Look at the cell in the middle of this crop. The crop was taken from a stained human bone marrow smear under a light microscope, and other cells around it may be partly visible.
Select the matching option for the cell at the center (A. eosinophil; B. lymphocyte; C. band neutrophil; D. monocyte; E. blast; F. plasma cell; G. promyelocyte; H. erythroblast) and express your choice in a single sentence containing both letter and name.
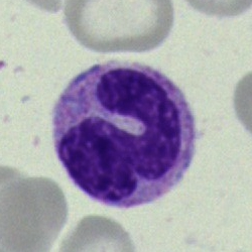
Option C is right, the centrally situated cell being a band neutrophil.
